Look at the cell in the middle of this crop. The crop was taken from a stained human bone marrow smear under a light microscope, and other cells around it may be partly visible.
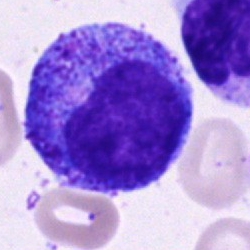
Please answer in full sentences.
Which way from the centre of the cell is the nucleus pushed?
Toward the lower right of the cell lies its nucleus.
